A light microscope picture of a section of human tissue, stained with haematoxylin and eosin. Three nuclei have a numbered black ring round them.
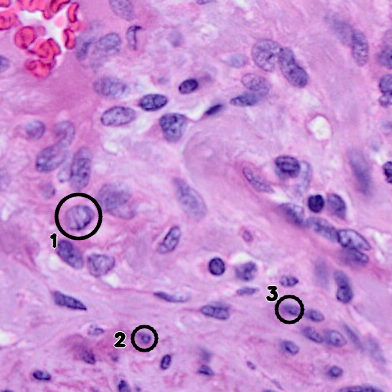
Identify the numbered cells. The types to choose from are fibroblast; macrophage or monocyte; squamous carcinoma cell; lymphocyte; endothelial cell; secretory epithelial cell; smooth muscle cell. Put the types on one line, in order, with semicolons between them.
endothelial cell; smooth muscle cell; smooth muscle cell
